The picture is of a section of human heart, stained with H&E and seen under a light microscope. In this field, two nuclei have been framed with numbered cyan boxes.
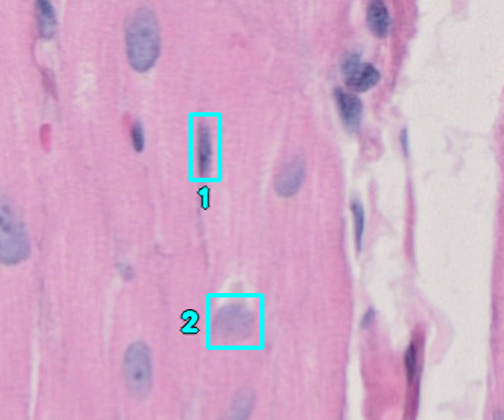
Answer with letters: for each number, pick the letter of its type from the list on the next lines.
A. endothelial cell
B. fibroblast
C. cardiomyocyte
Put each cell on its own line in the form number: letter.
1: A
2: C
